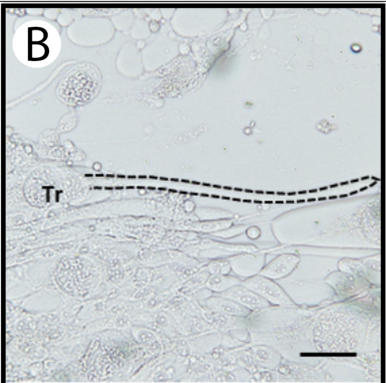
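Developing epidermis in which a round trichogen cell at the left gives rise to a long, thin hair shaft running horizontally. Scattered small refractile droplets lie in the clearer area above the tissue.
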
